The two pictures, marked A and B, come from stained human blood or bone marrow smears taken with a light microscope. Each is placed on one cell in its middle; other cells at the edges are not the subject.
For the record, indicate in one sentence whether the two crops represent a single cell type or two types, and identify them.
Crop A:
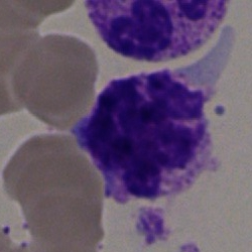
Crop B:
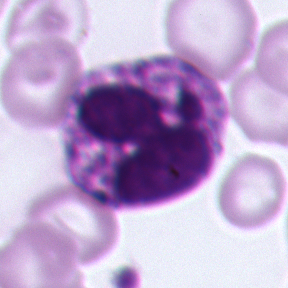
Yes, basophils are the cells in the middle of both crops.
